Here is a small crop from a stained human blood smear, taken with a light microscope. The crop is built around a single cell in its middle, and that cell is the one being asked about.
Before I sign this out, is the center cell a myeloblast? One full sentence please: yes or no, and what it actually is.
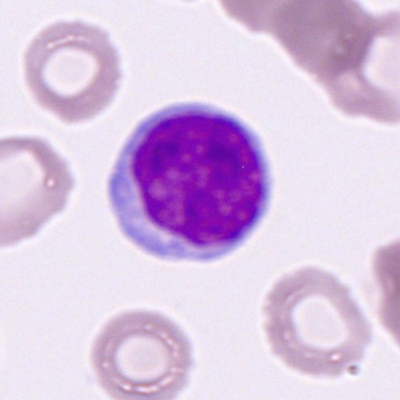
No, in the middle of the crop there is a lymphocyte rather than a myeloblast.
